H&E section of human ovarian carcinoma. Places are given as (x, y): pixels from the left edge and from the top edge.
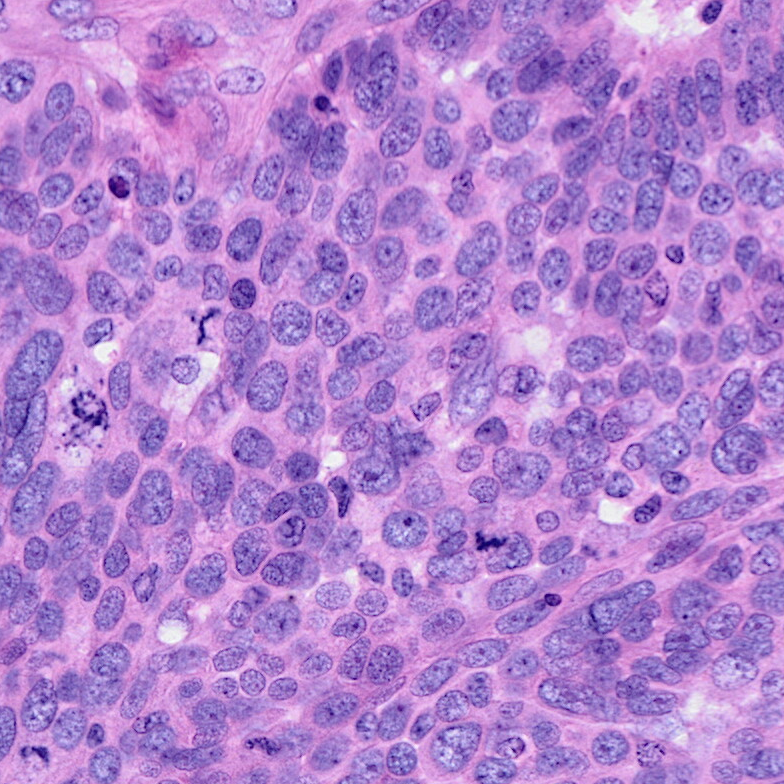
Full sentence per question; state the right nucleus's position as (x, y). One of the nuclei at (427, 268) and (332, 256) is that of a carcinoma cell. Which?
The nucleus at position (332, 256) belongs to a carcinoma cell.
